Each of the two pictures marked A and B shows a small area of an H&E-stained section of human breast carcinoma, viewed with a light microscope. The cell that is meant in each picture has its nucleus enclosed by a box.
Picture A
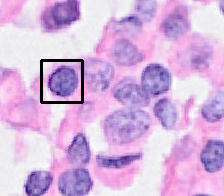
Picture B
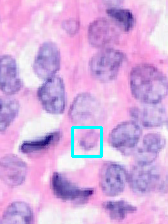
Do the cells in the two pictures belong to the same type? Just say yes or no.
yes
